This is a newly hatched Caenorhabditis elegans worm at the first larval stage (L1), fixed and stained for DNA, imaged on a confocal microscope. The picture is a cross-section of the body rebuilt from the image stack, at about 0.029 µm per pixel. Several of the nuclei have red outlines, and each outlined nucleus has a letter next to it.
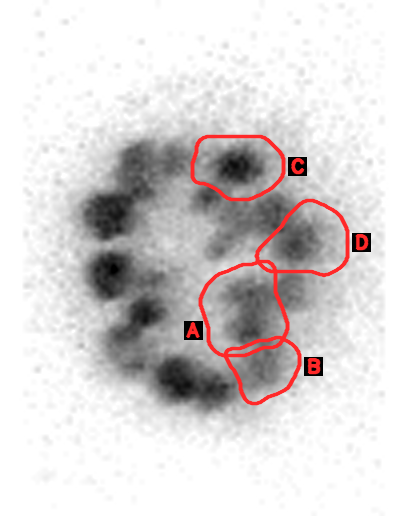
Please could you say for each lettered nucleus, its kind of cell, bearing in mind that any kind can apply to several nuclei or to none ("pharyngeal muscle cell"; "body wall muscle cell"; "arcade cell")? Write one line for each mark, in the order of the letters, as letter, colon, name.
A: pharyngeal muscle cell
B: body wall muscle cell
C: body wall muscle cell
D: arcade cell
